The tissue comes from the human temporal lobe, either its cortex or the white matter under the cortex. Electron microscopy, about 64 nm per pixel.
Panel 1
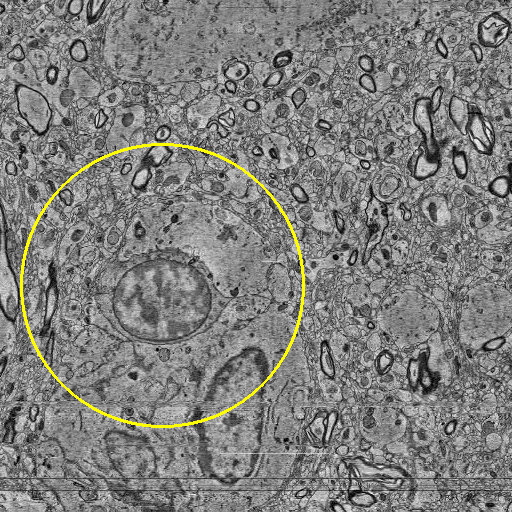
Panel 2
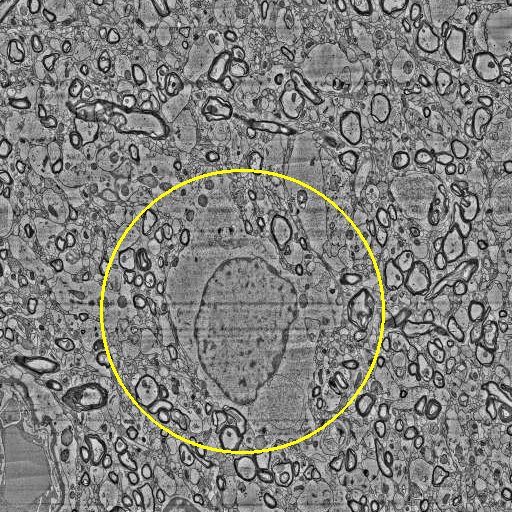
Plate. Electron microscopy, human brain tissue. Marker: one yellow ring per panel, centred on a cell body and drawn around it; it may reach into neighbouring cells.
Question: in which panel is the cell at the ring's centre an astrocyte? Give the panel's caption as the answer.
Panel 2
